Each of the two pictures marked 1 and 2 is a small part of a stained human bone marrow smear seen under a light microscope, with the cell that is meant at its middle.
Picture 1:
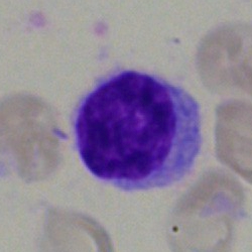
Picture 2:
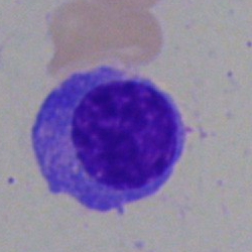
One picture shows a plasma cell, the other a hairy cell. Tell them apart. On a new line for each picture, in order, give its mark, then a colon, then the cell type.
1: hairy cell
2: plasma cell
